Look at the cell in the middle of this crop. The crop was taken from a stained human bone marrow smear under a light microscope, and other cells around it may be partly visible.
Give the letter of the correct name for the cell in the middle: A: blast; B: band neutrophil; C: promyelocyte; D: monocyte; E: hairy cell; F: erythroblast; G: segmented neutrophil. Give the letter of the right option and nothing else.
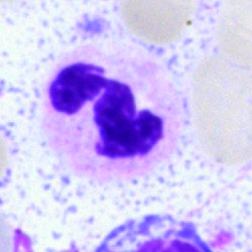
G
